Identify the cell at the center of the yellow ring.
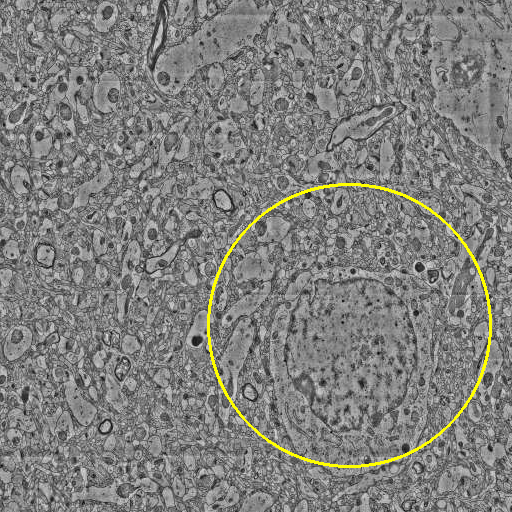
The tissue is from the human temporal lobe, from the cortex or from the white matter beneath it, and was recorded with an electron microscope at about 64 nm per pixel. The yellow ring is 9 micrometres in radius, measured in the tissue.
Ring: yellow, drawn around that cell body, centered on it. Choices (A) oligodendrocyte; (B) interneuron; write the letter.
B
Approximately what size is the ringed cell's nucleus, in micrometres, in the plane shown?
In this plane the nucleus measures roughly 10 by 8 micrometres.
